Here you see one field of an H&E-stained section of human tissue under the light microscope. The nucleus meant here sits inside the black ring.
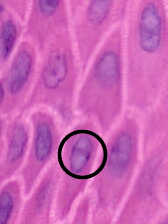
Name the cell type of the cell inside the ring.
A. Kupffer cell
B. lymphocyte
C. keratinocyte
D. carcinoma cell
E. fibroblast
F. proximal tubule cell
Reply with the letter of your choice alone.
C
